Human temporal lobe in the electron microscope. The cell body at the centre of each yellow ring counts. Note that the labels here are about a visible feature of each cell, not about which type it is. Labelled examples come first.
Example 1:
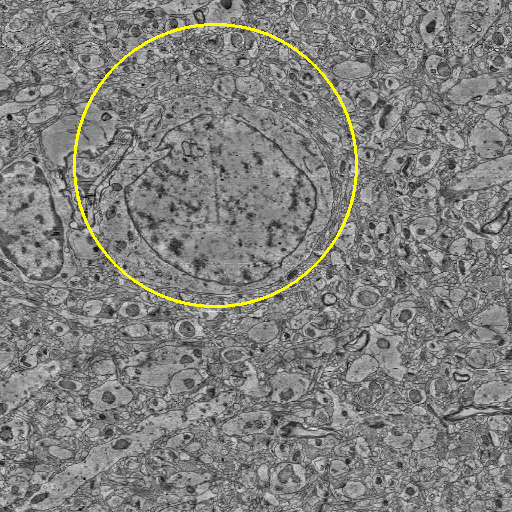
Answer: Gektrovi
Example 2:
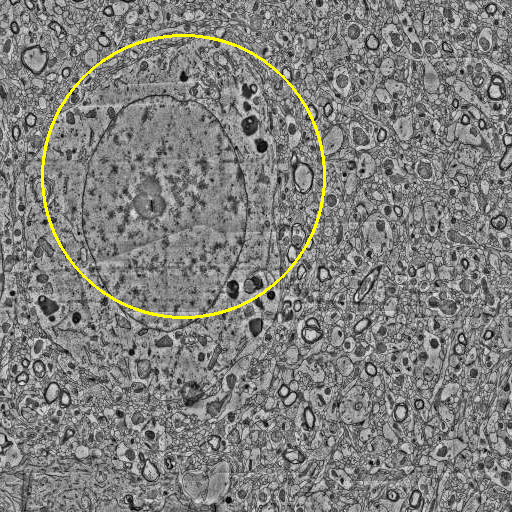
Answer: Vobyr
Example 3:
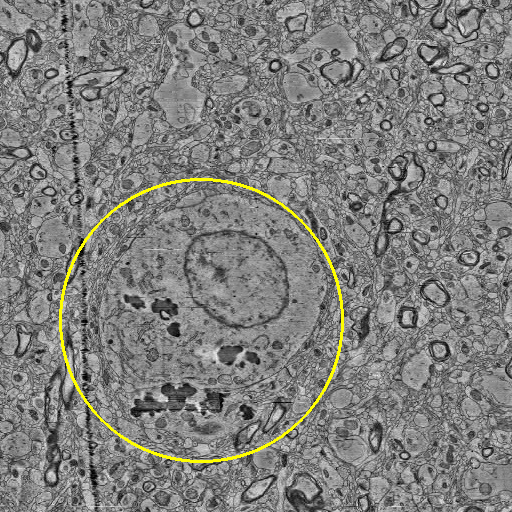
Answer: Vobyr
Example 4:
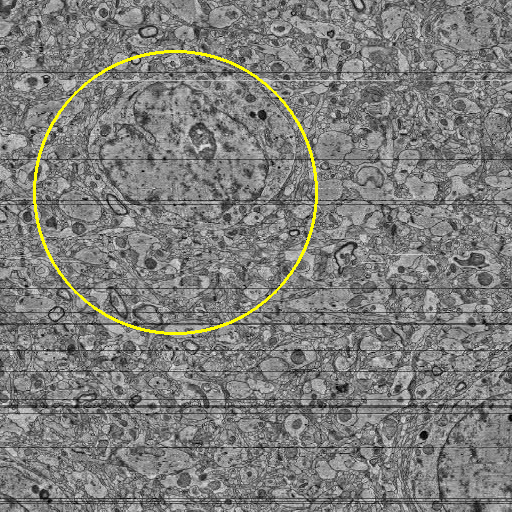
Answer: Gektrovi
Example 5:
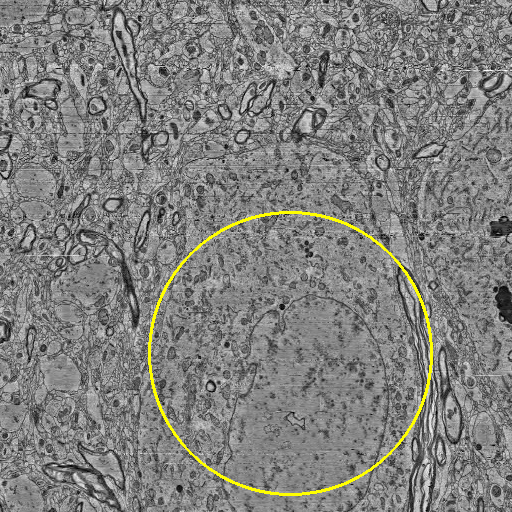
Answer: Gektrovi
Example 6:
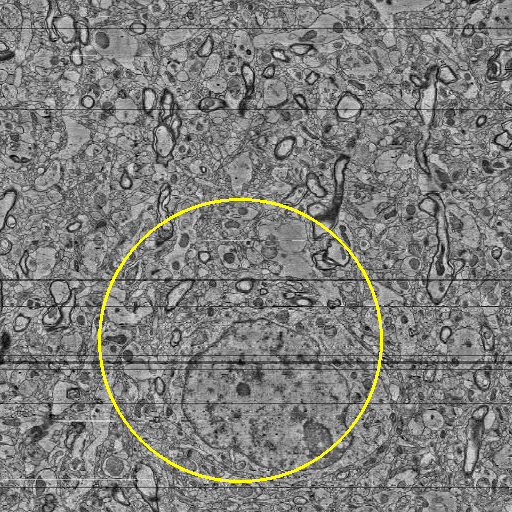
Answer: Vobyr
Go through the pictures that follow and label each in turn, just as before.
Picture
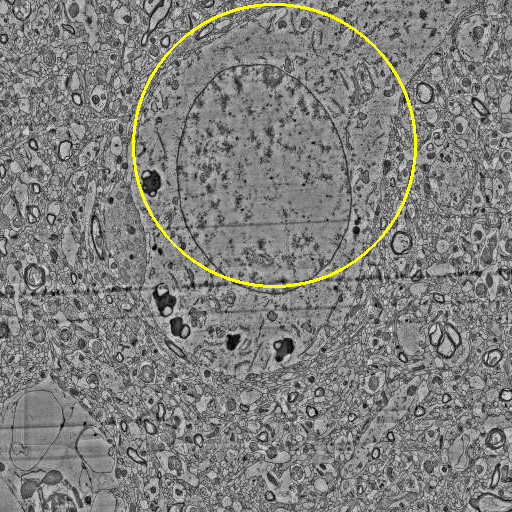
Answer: Vobyr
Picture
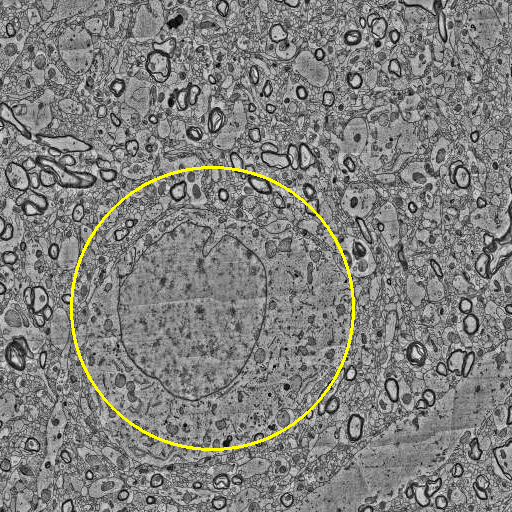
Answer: Gektrovi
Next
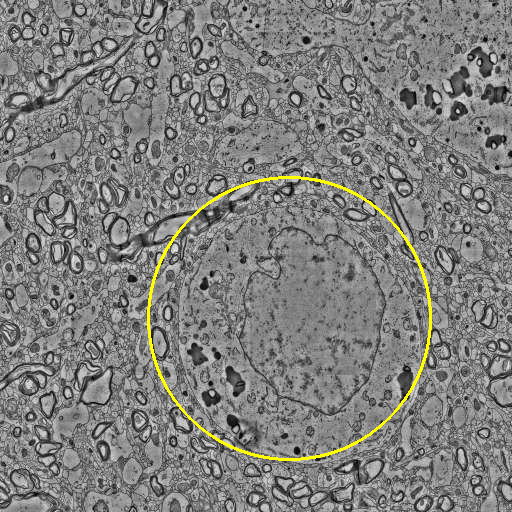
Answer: Gektrovi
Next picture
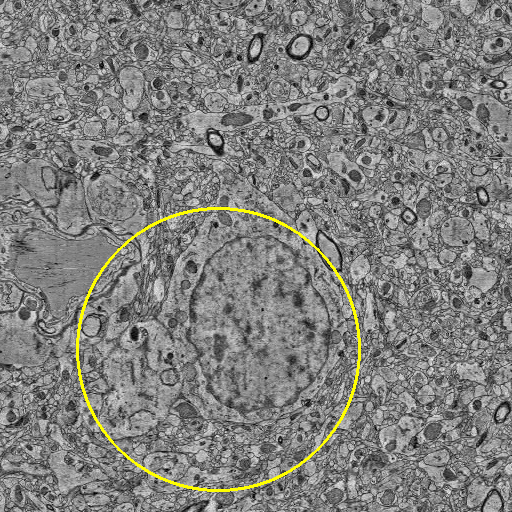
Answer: Vobyr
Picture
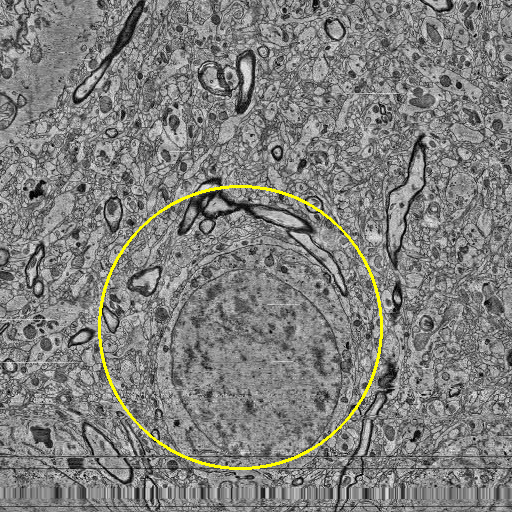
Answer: Vobyr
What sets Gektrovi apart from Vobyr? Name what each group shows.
Gektrovi: deeply folded or indented nuclear envelopes; Vobyr: smooth nuclear envelopes without deep folds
